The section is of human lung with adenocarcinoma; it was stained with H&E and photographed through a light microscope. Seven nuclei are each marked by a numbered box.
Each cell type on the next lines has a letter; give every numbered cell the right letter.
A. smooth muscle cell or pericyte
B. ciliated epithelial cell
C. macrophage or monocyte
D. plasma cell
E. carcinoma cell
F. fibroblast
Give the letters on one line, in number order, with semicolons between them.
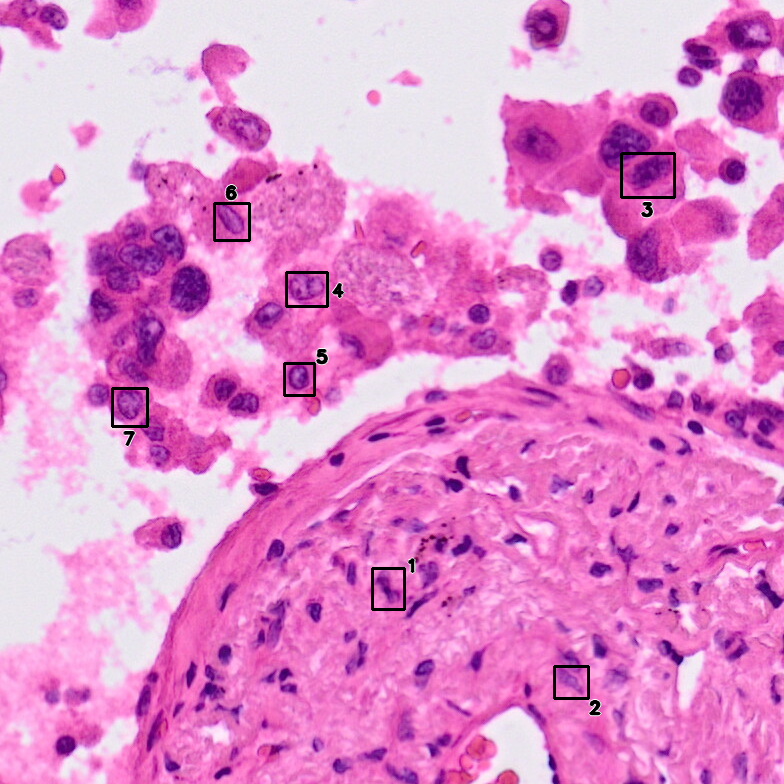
D; A; E; C; C; C; C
